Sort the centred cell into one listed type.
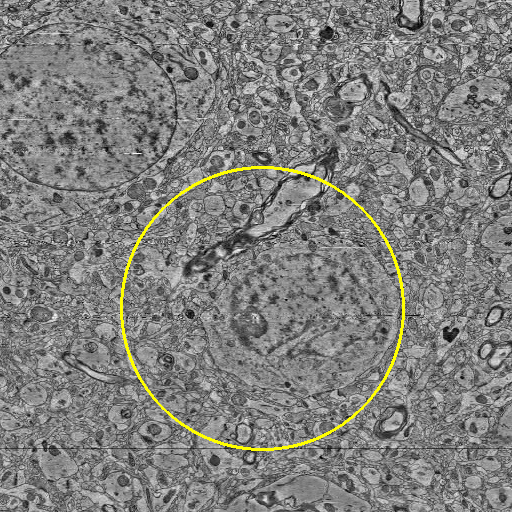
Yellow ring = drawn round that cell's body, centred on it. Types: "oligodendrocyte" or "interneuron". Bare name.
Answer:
interneuron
